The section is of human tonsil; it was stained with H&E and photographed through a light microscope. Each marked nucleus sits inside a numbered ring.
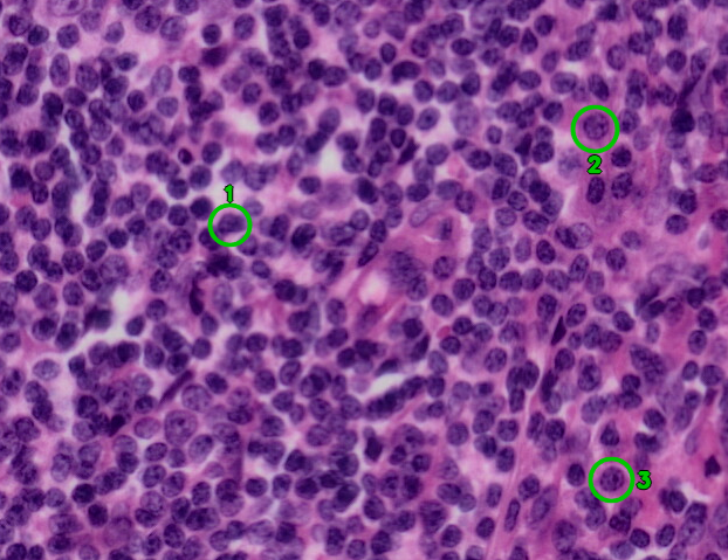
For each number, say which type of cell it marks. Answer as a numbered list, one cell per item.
1. small lymphocyte
2. plasma cell
3. plasma cell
